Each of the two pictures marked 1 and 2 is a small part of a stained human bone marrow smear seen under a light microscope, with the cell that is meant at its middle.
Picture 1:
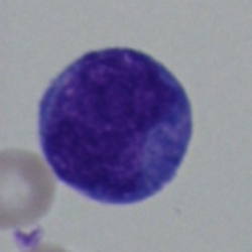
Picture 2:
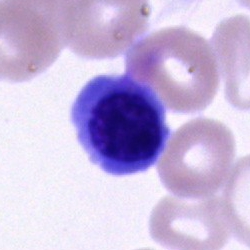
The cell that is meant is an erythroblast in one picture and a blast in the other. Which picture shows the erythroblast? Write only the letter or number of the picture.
2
